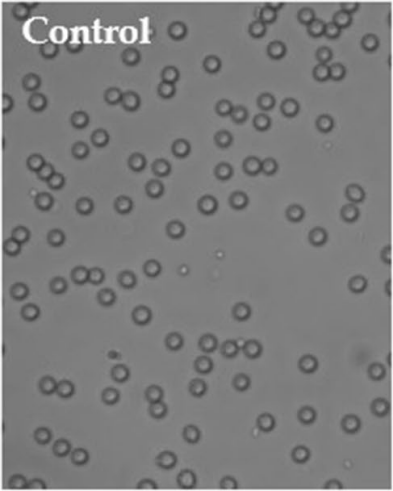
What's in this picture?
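Erythrocytes in suspension, seen as small round cells of uniform size scattered mostly singly across the field. Each cell is anucleate and shows a dark, even rim around a paler centre. Outlines are smooth and circular, and only a few cells lie touching one another in small pairs or short groups.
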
